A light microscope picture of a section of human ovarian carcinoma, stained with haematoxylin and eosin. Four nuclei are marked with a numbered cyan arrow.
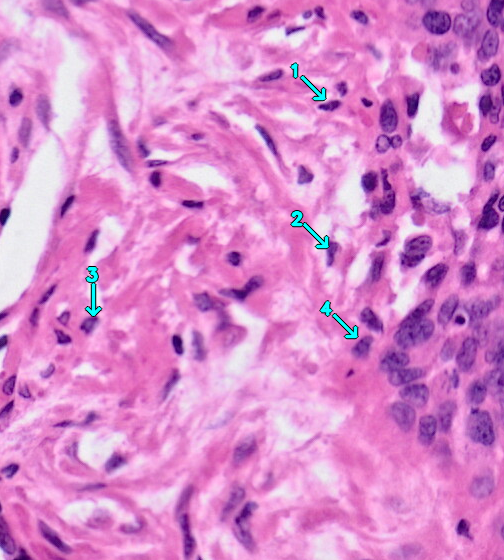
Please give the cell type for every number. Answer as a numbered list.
1. fibroblast
2. fibroblast
3. fibroblast
4. macrophage or monocyte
